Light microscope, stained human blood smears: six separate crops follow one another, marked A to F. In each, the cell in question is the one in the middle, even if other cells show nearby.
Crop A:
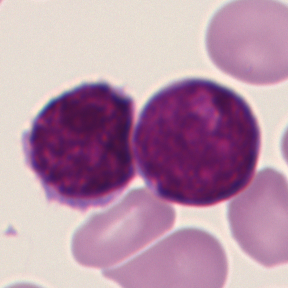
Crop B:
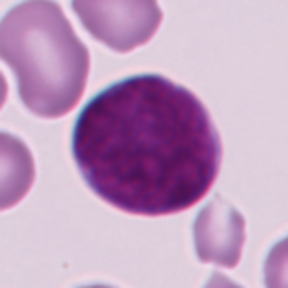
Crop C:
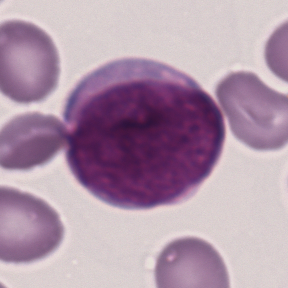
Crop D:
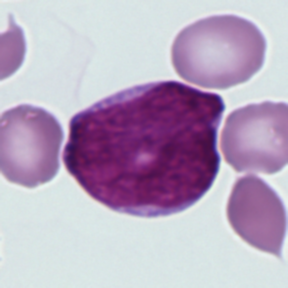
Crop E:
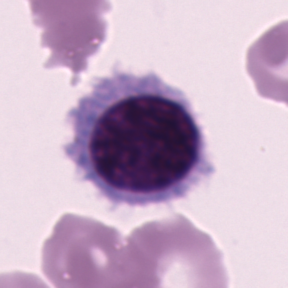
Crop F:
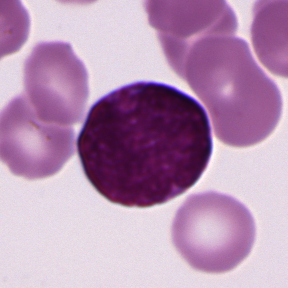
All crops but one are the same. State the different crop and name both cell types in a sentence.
Crop E stands apart as a hairy cell, whereas the remaining crops all show myeloblasts.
